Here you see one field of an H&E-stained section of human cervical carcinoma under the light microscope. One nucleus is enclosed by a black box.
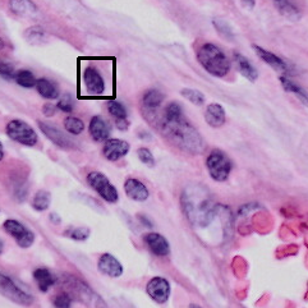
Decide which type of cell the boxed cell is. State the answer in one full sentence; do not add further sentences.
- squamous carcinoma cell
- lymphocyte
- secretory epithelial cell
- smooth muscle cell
It is a lymphocyte that the boxed cell represents.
